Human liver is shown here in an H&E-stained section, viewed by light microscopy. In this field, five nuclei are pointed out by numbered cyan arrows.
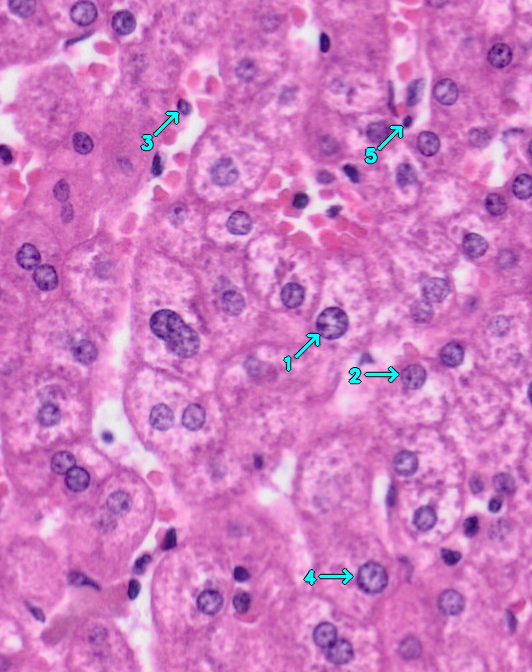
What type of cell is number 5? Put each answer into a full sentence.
The cell referenced by the number 5 is a lymphocyte in this field.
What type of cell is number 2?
Regarding cell 2, this one is a hepatocyte.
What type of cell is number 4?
The cell that carries the label 4 is a hepatocyte.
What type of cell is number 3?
What the number 3 marks in this field is a lymphocyte.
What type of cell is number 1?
Cell 1 in the field is a hepatocyte.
